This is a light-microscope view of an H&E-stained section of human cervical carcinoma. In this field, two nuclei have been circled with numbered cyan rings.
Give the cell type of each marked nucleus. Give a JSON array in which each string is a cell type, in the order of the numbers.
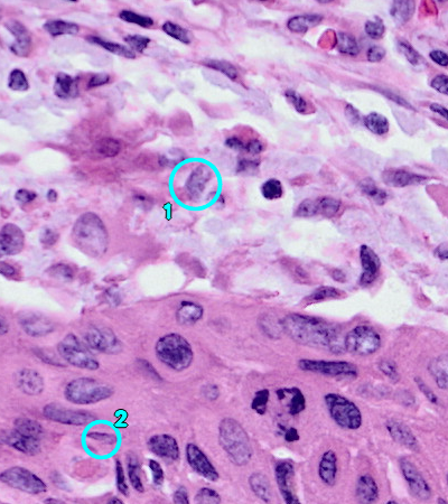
["fibroblast", "squamous carcinoma cell"]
